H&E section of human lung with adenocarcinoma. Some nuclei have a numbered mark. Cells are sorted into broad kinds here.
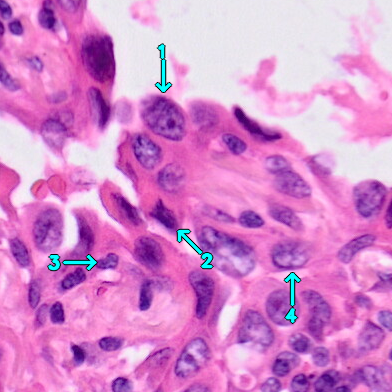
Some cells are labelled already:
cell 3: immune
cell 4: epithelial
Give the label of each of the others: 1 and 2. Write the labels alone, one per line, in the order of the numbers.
epithelial
epithelial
